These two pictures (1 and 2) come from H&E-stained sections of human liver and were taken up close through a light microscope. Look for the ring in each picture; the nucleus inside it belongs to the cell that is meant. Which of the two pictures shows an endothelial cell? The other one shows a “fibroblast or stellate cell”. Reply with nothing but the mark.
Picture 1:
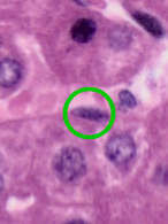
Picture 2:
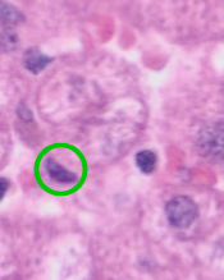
1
